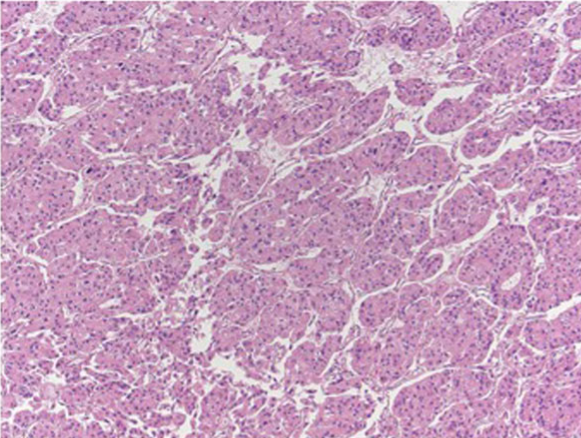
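This is a tumor made of cells with round nuclei, arranged in sheets and nests. The nests are separated by thin, clear clefts and slender strands of stroma, giving a lobulated, packed pattern. The cells have abundant pink cytoplasm and small, round, purple nuclei of fairly uniform size.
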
